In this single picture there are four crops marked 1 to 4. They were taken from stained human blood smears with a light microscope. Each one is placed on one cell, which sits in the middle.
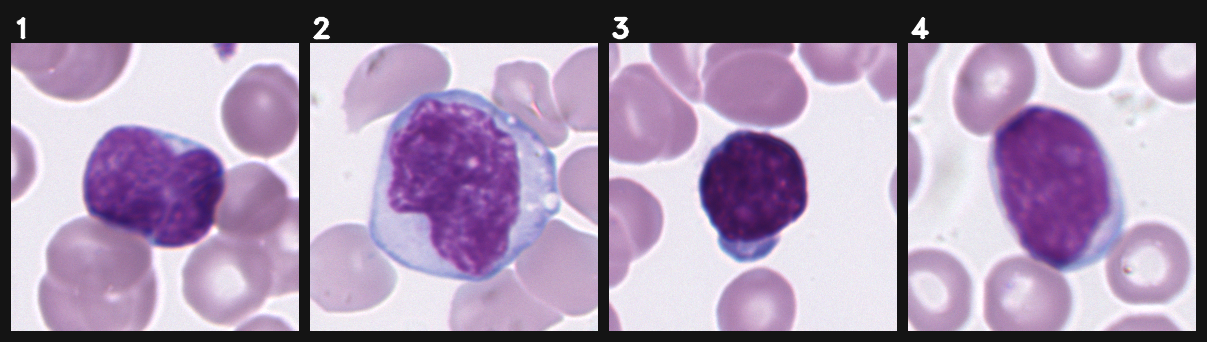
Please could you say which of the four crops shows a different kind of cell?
4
